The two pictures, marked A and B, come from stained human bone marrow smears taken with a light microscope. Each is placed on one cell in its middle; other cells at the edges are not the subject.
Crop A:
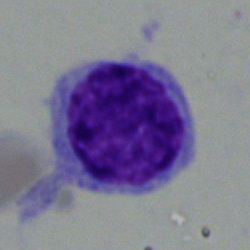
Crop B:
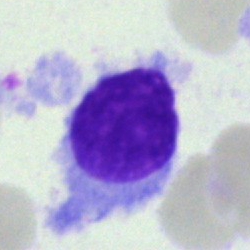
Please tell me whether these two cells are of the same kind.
yes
